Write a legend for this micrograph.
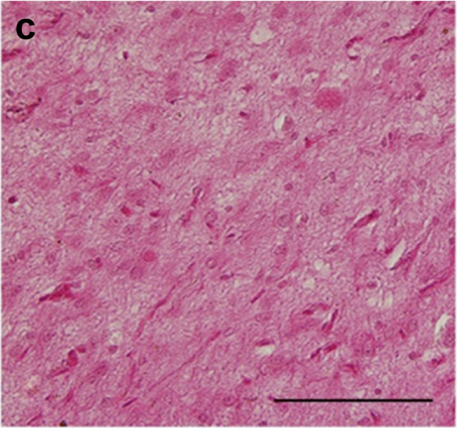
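Brain grey matter stained in shades of pink-red shows a loosened, fibrillary neuropil with marked loss of neurons and prominent astrocytosis. Large neuronal cell bodies are scarce, and small clefts and vacuoles open in the neuropil.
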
